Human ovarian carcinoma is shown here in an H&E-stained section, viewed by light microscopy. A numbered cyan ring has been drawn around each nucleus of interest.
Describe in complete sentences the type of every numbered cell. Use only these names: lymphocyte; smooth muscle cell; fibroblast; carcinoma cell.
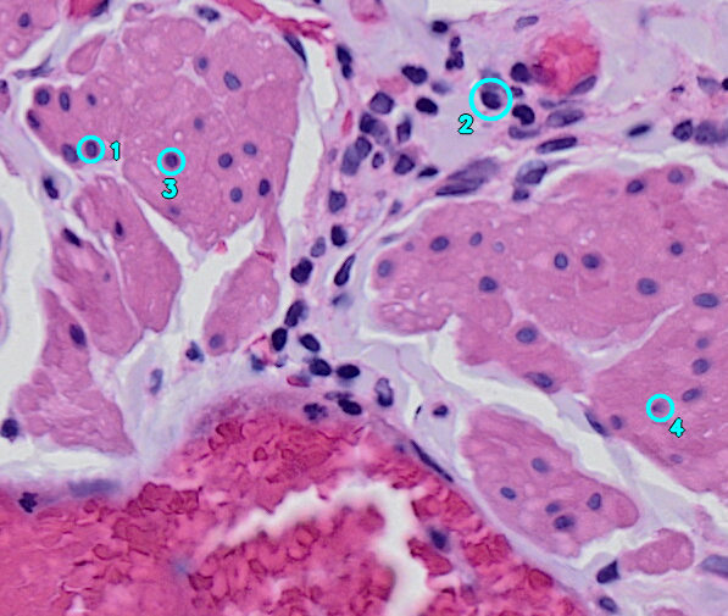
Cell 1 is a smooth muscle cell, cell 2 is a lymphocyte, cell 3 is a smooth muscle cell and cell 4 is a smooth muscle cell.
